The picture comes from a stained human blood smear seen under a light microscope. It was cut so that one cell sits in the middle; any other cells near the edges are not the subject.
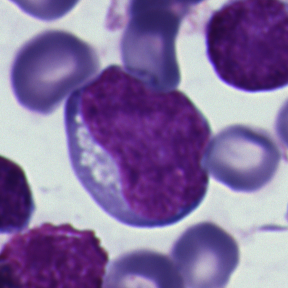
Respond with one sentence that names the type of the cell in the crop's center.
Classified as a myeloblast is the cell in the middle of this crop.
